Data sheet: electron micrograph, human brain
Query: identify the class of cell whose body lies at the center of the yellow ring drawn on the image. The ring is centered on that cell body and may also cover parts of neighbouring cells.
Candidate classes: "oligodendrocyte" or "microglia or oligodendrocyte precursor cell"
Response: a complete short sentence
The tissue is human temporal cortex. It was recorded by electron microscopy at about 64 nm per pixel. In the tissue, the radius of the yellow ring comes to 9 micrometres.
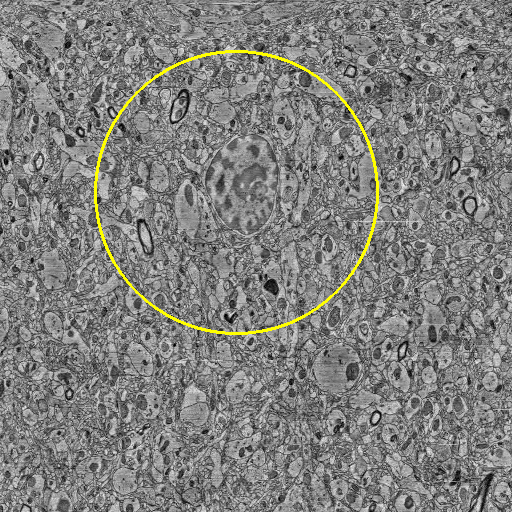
At the center of the ring lies a microglial cell or oligodendrocyte precursor cell.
